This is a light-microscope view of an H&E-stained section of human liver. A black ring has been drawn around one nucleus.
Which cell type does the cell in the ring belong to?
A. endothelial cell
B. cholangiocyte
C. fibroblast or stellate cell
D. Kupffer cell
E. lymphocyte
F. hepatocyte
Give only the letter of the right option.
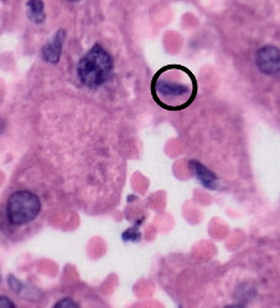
C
